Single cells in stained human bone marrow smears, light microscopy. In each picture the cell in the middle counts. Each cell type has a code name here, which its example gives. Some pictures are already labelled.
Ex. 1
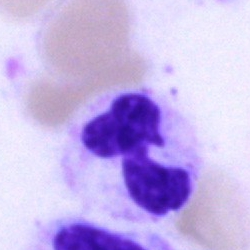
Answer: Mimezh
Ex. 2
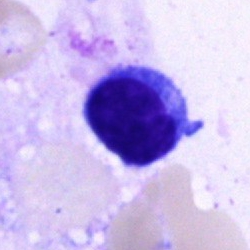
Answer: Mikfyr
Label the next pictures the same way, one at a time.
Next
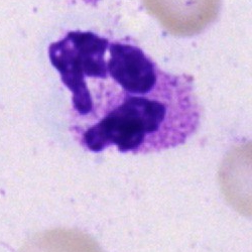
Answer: Mimezh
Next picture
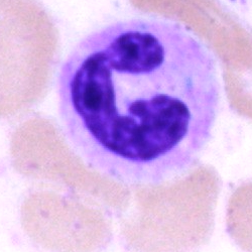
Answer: Mimezh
